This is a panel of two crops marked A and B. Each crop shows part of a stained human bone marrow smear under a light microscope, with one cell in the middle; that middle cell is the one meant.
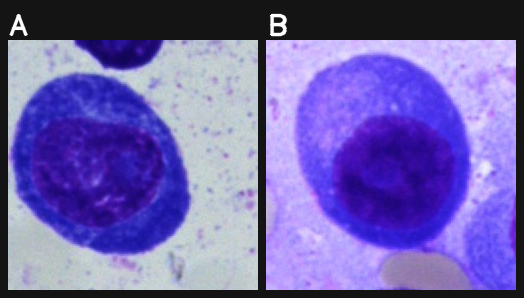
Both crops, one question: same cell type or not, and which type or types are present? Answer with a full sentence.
Yes, the cells at the middle of both crops are plasma cells.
